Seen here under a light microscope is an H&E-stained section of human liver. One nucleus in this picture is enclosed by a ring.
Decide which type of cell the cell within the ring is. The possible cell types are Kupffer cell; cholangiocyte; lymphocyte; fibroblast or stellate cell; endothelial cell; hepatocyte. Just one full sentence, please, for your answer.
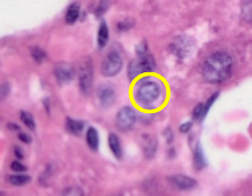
In the tissue at hand, the cell within the ring is a cholangiocyte.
